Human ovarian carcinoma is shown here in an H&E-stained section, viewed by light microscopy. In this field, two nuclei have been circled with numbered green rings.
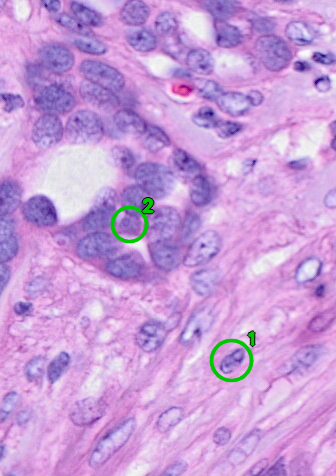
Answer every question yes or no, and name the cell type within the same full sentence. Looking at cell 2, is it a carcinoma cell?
Yes, the cell denoted by 2 is a carcinoma cell.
